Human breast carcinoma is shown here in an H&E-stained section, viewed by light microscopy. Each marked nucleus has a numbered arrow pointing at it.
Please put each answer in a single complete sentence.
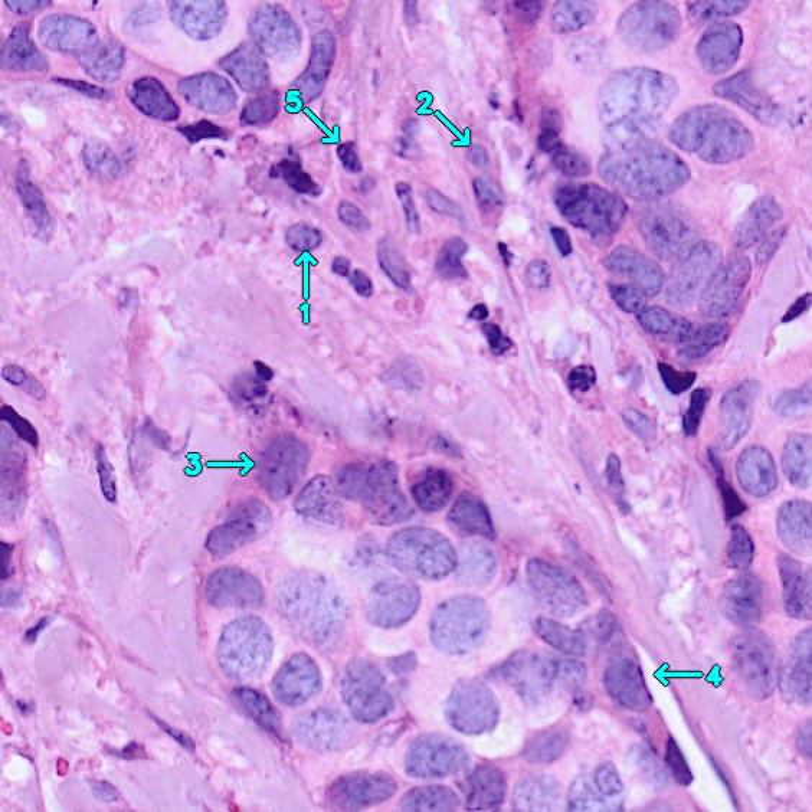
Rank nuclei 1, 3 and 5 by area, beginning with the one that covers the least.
By area, going up from the smallest, they rank 5, 1, 3.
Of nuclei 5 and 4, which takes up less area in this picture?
Nucleus 5 covers less area, with nucleus 4 about 4 times as large.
